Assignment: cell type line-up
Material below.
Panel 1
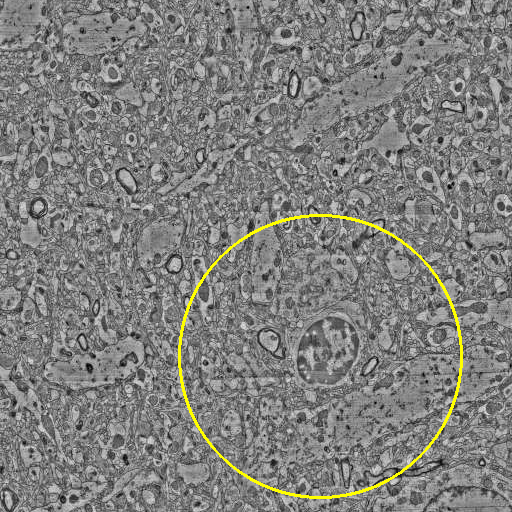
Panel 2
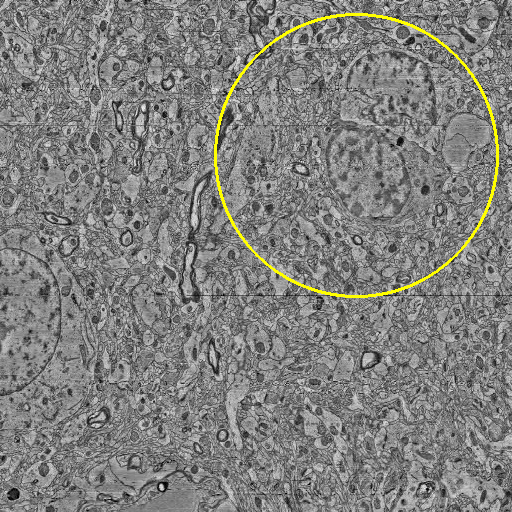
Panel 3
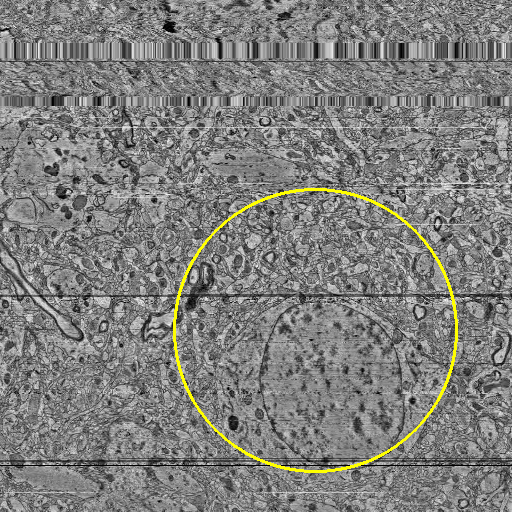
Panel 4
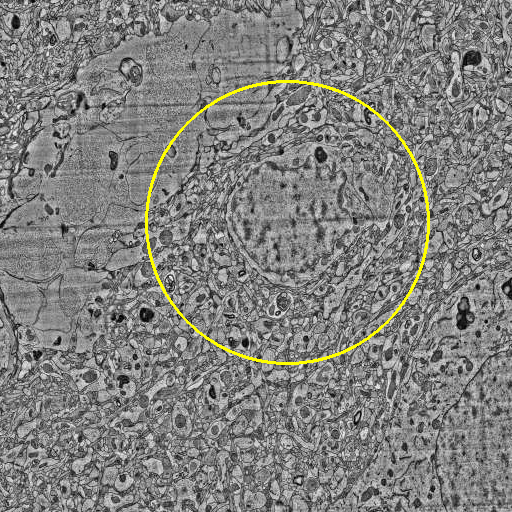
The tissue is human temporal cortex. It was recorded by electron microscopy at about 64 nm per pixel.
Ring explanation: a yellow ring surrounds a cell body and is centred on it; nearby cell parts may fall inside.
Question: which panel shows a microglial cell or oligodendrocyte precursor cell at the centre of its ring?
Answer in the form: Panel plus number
Panel 1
